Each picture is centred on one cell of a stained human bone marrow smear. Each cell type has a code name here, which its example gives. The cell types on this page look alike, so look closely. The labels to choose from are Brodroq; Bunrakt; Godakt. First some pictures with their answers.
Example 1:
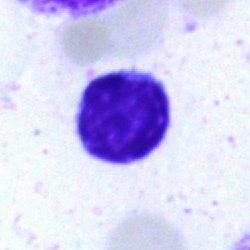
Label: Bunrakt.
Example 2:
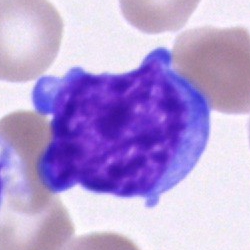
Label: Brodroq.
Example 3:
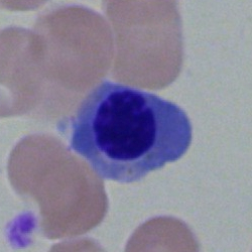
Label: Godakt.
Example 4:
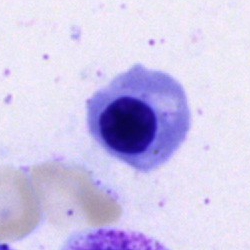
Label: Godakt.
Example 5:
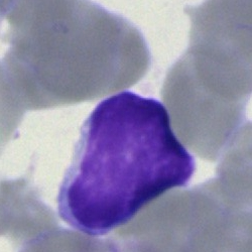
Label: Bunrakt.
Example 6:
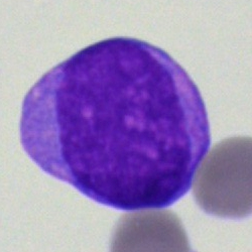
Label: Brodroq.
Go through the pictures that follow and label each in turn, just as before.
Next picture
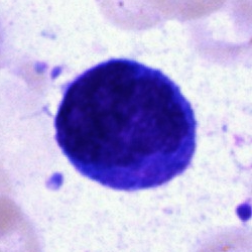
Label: Brodroq.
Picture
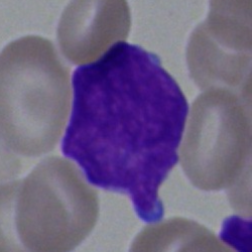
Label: Brodroq.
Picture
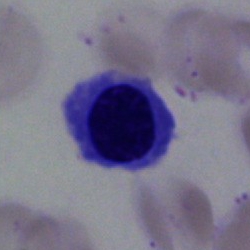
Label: Godakt.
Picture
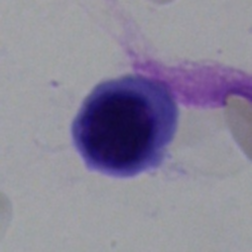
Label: Godakt.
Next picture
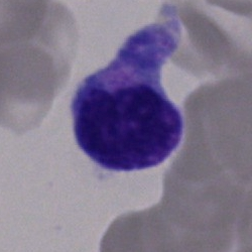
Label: Bunrakt.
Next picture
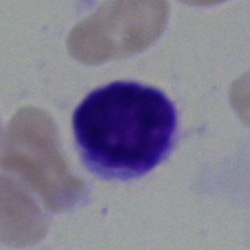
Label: Bunrakt.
